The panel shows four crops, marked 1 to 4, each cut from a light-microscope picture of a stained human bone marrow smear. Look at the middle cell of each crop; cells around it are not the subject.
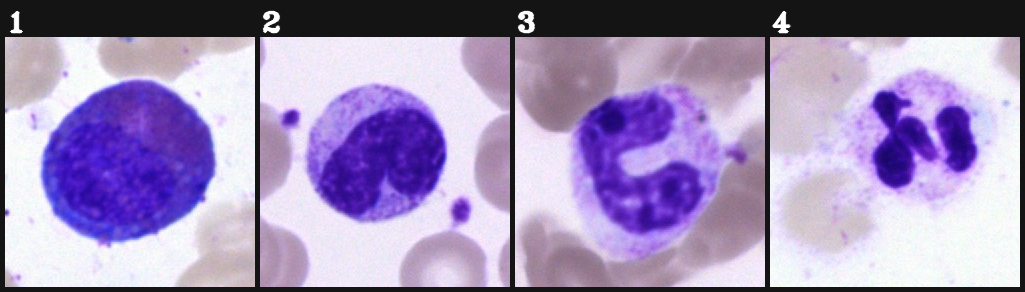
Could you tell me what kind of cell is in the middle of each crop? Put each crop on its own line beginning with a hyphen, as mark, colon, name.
- 1: eosinophil
- 2: band neutrophil
- 3: band neutrophil
- 4: segmented neutrophil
